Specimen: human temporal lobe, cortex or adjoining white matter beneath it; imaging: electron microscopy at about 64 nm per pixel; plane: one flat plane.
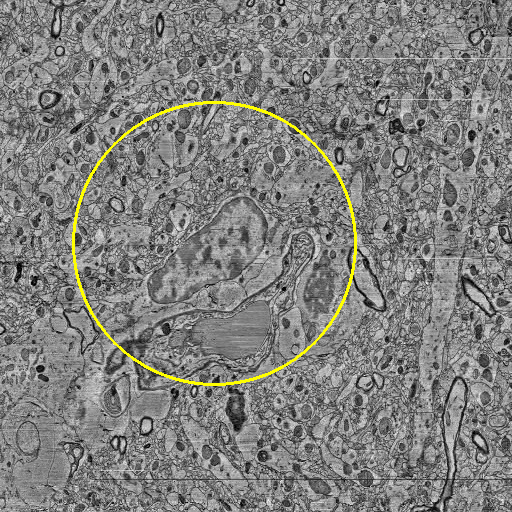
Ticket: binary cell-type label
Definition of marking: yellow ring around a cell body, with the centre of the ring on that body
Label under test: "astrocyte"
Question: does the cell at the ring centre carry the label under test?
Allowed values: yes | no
no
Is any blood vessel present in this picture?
Yes, a blood vessel can be seen.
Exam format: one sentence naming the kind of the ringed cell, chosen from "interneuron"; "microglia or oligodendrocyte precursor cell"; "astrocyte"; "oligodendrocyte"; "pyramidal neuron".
The cell in question here is a microglial cell or oligodendrocyte precursor cell.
